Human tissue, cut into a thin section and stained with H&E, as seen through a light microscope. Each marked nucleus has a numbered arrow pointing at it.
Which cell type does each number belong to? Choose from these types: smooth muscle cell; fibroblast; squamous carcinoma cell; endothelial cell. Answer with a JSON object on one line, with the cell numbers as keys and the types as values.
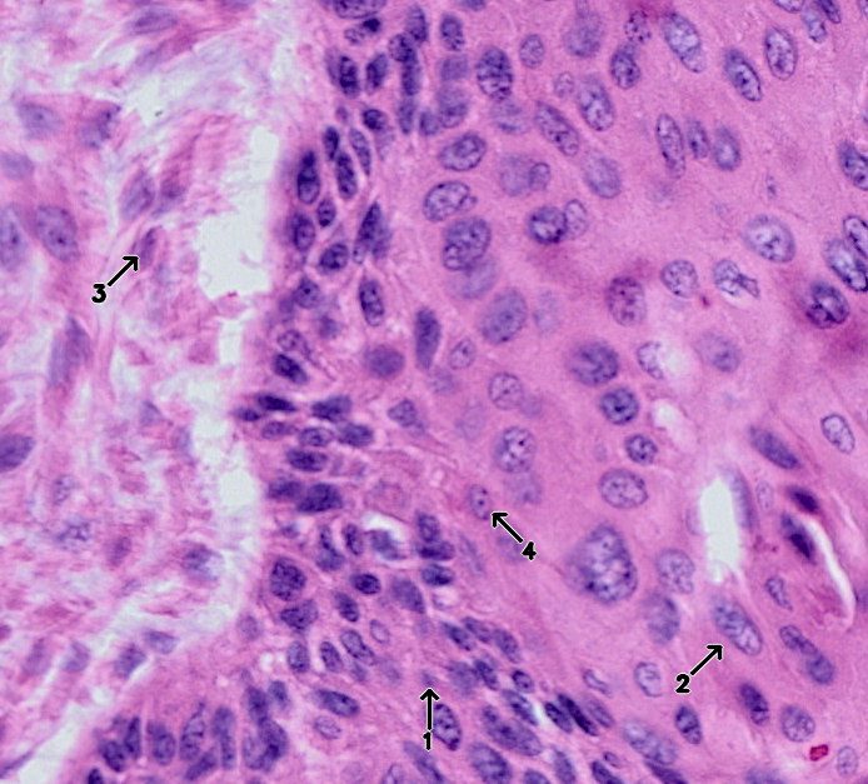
{"1": "squamous carcinoma cell", "2": "squamous carcinoma cell", "3": "fibroblast", "4": "squamous carcinoma cell"}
